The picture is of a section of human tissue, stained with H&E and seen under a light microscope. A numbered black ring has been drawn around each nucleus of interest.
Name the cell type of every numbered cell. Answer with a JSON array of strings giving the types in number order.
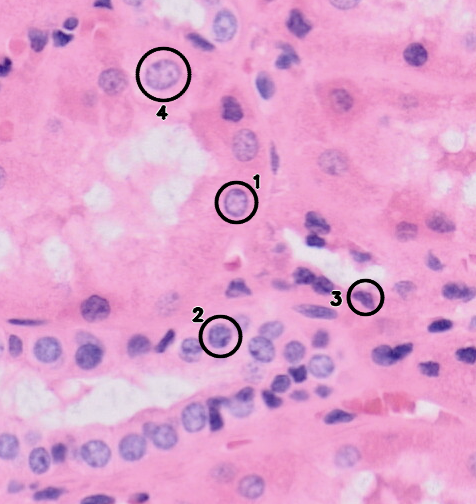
["proximal tubule cell", "collecting duct cell", "loop of Henle or distal tubule cell", "proximal tubule cell"]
